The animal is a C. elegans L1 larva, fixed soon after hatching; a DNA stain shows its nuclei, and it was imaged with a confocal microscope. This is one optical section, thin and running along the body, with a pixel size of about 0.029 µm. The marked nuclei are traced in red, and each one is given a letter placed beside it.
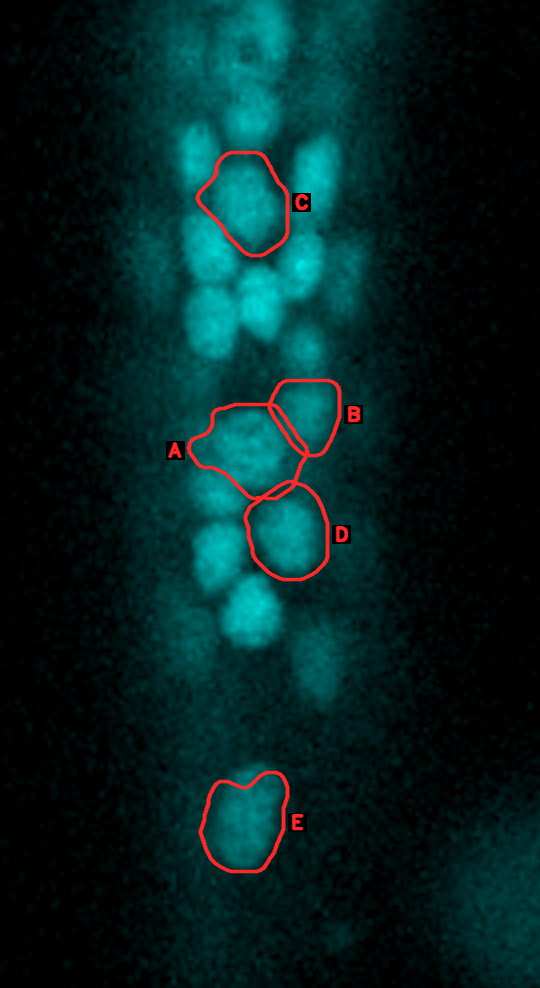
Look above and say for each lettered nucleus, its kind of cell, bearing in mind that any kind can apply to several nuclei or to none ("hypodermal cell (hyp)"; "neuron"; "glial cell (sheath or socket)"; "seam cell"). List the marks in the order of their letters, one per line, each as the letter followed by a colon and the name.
A: seam cell
B: glial cell (sheath or socket)
C: neuron
D: hypodermal cell (hyp)
E: hypodermal cell (hyp)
